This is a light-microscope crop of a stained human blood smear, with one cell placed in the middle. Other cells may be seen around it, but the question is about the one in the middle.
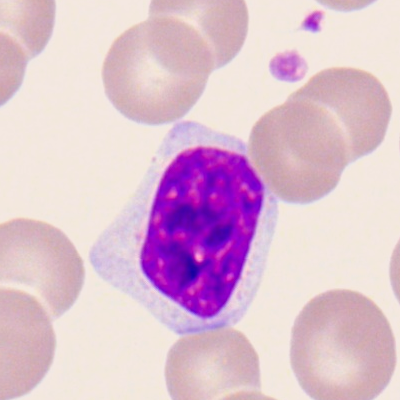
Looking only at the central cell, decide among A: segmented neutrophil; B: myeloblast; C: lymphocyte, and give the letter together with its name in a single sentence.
Correctly, option C names the cell in the middle a lymphocyte.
